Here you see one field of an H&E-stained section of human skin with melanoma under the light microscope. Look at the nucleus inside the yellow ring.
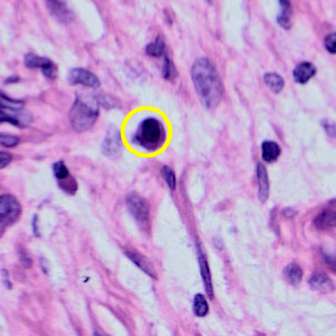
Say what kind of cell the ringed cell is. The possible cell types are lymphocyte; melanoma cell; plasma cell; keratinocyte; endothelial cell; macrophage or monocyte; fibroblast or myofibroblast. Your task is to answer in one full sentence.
As far as its identity is concerned, the ringed cell is a plasma cell.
